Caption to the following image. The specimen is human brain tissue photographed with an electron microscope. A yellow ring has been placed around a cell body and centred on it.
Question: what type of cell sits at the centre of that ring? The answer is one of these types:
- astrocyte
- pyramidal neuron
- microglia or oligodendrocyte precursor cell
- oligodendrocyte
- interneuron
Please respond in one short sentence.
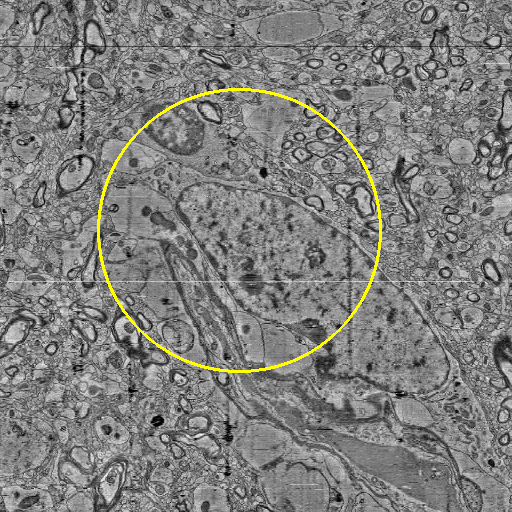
The ring surrounds the cell body of a microglial cell or oligodendrocyte precursor cell.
